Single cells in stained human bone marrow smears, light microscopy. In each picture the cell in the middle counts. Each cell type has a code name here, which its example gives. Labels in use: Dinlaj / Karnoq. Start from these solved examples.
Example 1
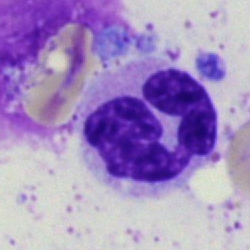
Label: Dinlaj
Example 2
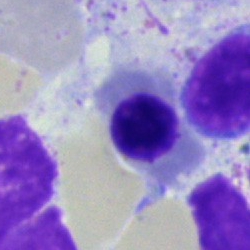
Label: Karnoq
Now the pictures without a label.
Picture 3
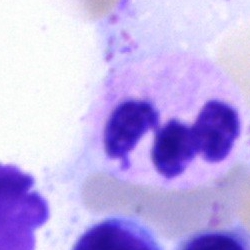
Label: Dinlaj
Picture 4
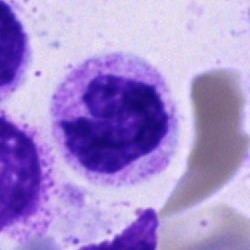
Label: Dinlaj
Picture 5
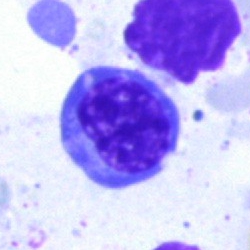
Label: Karnoq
